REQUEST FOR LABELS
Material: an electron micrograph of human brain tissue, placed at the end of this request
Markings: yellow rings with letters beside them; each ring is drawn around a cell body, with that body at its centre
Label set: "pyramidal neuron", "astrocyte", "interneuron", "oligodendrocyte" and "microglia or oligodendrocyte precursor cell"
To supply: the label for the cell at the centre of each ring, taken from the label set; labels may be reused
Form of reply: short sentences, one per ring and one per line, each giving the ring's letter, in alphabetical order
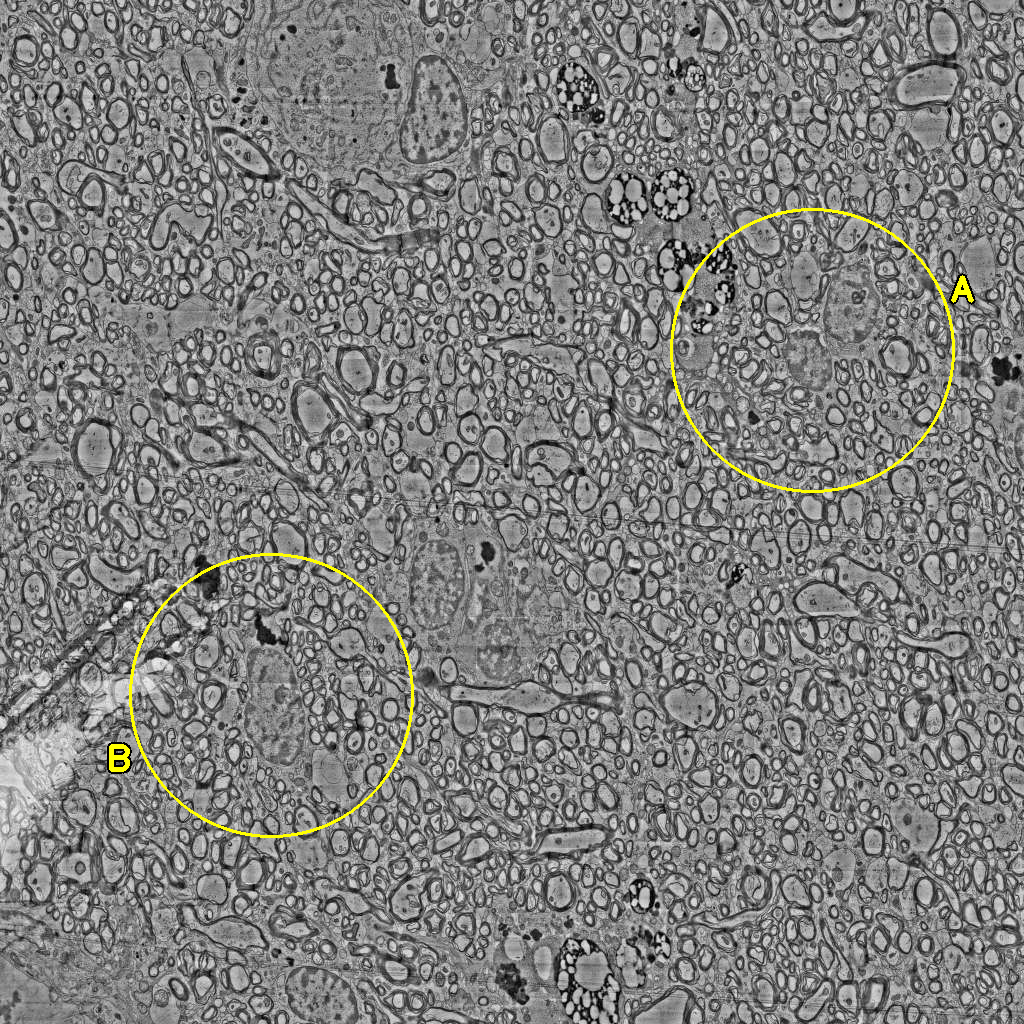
Ring A: the cell in the middle is an oligodendrocyte.
Ring B: the cell in the middle is an oligodendrocyte.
